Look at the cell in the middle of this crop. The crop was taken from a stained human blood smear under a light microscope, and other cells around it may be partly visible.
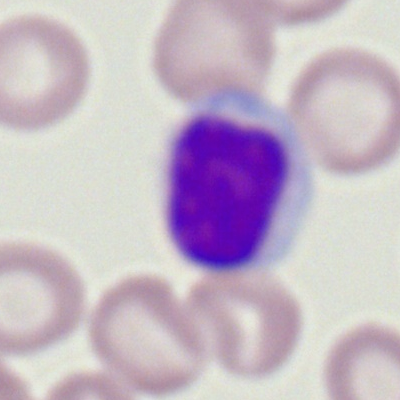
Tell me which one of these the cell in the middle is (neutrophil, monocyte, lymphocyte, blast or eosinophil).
lymphocyte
